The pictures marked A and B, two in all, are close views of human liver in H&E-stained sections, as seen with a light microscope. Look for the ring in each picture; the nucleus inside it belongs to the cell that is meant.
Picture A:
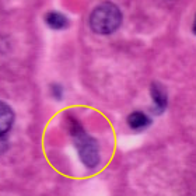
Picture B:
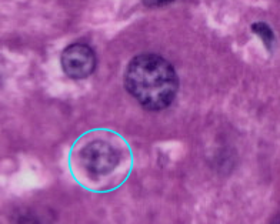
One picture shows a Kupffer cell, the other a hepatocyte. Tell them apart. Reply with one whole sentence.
The cell in picture A is a Kupffer cell, and the one in picture B is a hepatocyte.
